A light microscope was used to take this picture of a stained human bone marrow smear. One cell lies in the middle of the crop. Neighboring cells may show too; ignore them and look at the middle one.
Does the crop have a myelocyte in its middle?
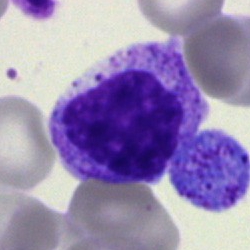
yes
